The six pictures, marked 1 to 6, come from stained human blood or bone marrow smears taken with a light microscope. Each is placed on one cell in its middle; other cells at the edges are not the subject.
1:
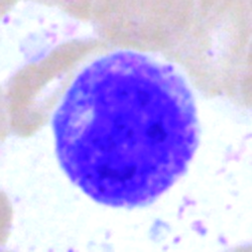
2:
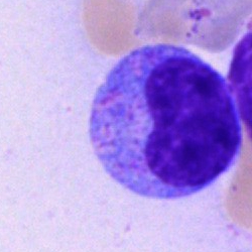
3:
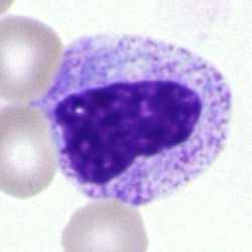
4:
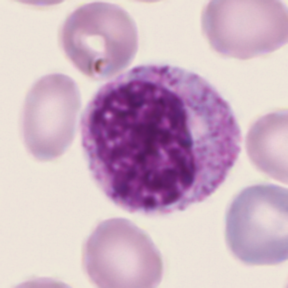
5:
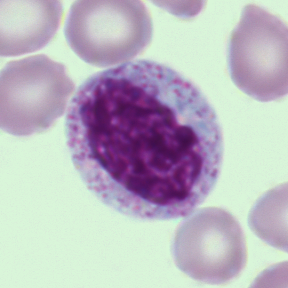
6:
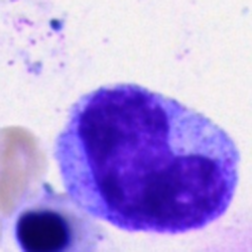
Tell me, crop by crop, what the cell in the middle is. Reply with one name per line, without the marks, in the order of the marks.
myelocyte
myelocyte
metamyelocyte
myelocyte
metamyelocyte
metamyelocyte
